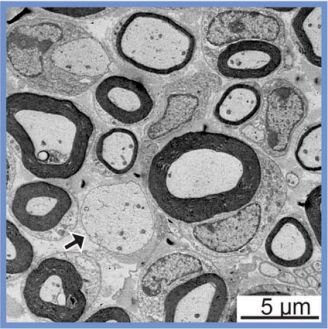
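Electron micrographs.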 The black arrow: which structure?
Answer: Sorted but not-myelinated axon.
